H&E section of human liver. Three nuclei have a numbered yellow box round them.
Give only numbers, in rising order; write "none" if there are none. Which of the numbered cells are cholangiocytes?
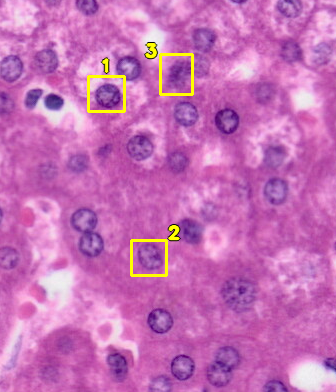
none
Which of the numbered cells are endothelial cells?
3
